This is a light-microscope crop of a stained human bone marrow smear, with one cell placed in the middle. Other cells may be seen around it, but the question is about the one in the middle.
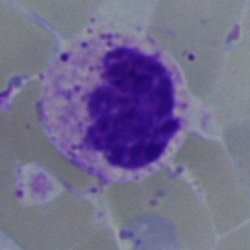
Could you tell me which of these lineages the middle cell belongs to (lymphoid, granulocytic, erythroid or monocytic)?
granulocytic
